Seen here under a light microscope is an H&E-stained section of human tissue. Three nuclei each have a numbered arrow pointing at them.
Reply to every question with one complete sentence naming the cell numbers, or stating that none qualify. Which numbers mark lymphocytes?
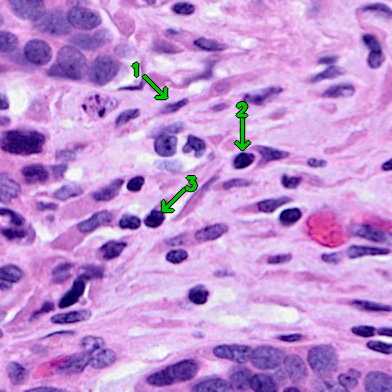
The cells picked out by numbers 2 and 3 are lymphocytes.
